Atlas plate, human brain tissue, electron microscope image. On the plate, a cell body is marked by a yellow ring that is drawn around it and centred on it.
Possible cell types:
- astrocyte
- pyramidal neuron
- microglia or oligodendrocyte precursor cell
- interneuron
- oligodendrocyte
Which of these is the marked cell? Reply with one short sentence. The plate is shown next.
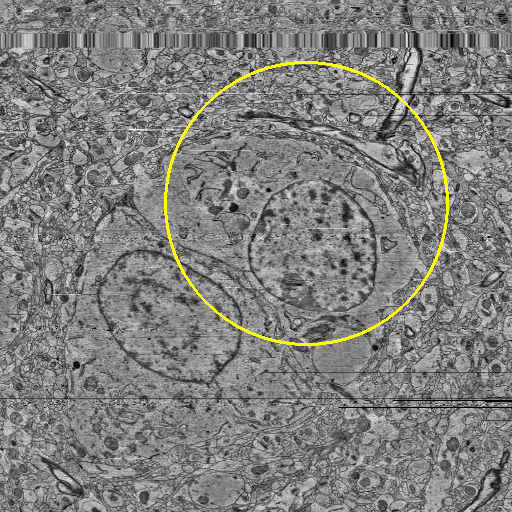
The marked cell is an astrocyte.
